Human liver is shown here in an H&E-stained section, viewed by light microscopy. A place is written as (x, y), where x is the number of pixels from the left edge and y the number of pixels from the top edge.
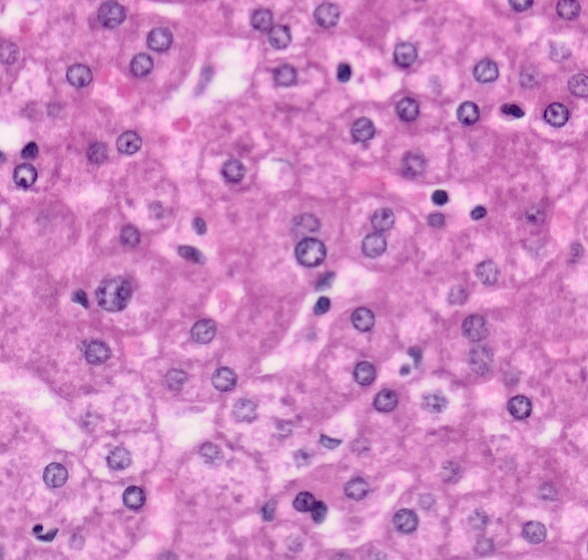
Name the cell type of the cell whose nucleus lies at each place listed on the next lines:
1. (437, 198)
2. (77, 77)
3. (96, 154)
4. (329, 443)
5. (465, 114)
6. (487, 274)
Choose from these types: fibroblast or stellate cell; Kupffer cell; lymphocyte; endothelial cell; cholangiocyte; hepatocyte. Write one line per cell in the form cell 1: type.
cell 1: lymphocyte
cell 2: hepatocyte
cell 3: hepatocyte
cell 4: endothelial cell
cell 5: hepatocyte
cell 6: hepatocyte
